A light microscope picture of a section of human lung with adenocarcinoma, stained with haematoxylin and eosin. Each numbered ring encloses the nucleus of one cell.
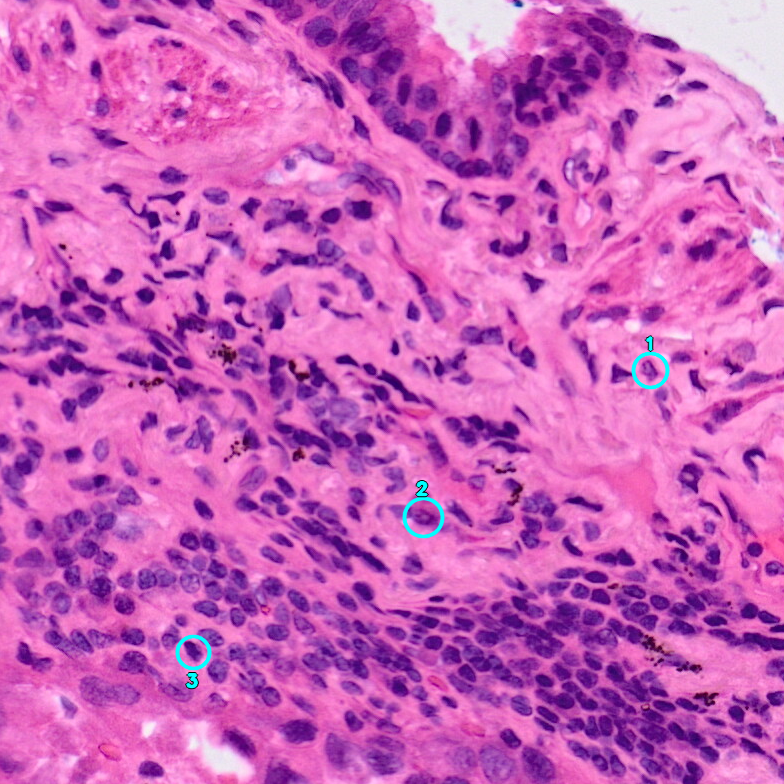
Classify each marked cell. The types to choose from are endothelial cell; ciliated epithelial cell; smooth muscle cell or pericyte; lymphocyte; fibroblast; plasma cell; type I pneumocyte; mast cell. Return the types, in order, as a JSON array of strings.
["mast cell", "plasma cell", "lymphocyte"]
